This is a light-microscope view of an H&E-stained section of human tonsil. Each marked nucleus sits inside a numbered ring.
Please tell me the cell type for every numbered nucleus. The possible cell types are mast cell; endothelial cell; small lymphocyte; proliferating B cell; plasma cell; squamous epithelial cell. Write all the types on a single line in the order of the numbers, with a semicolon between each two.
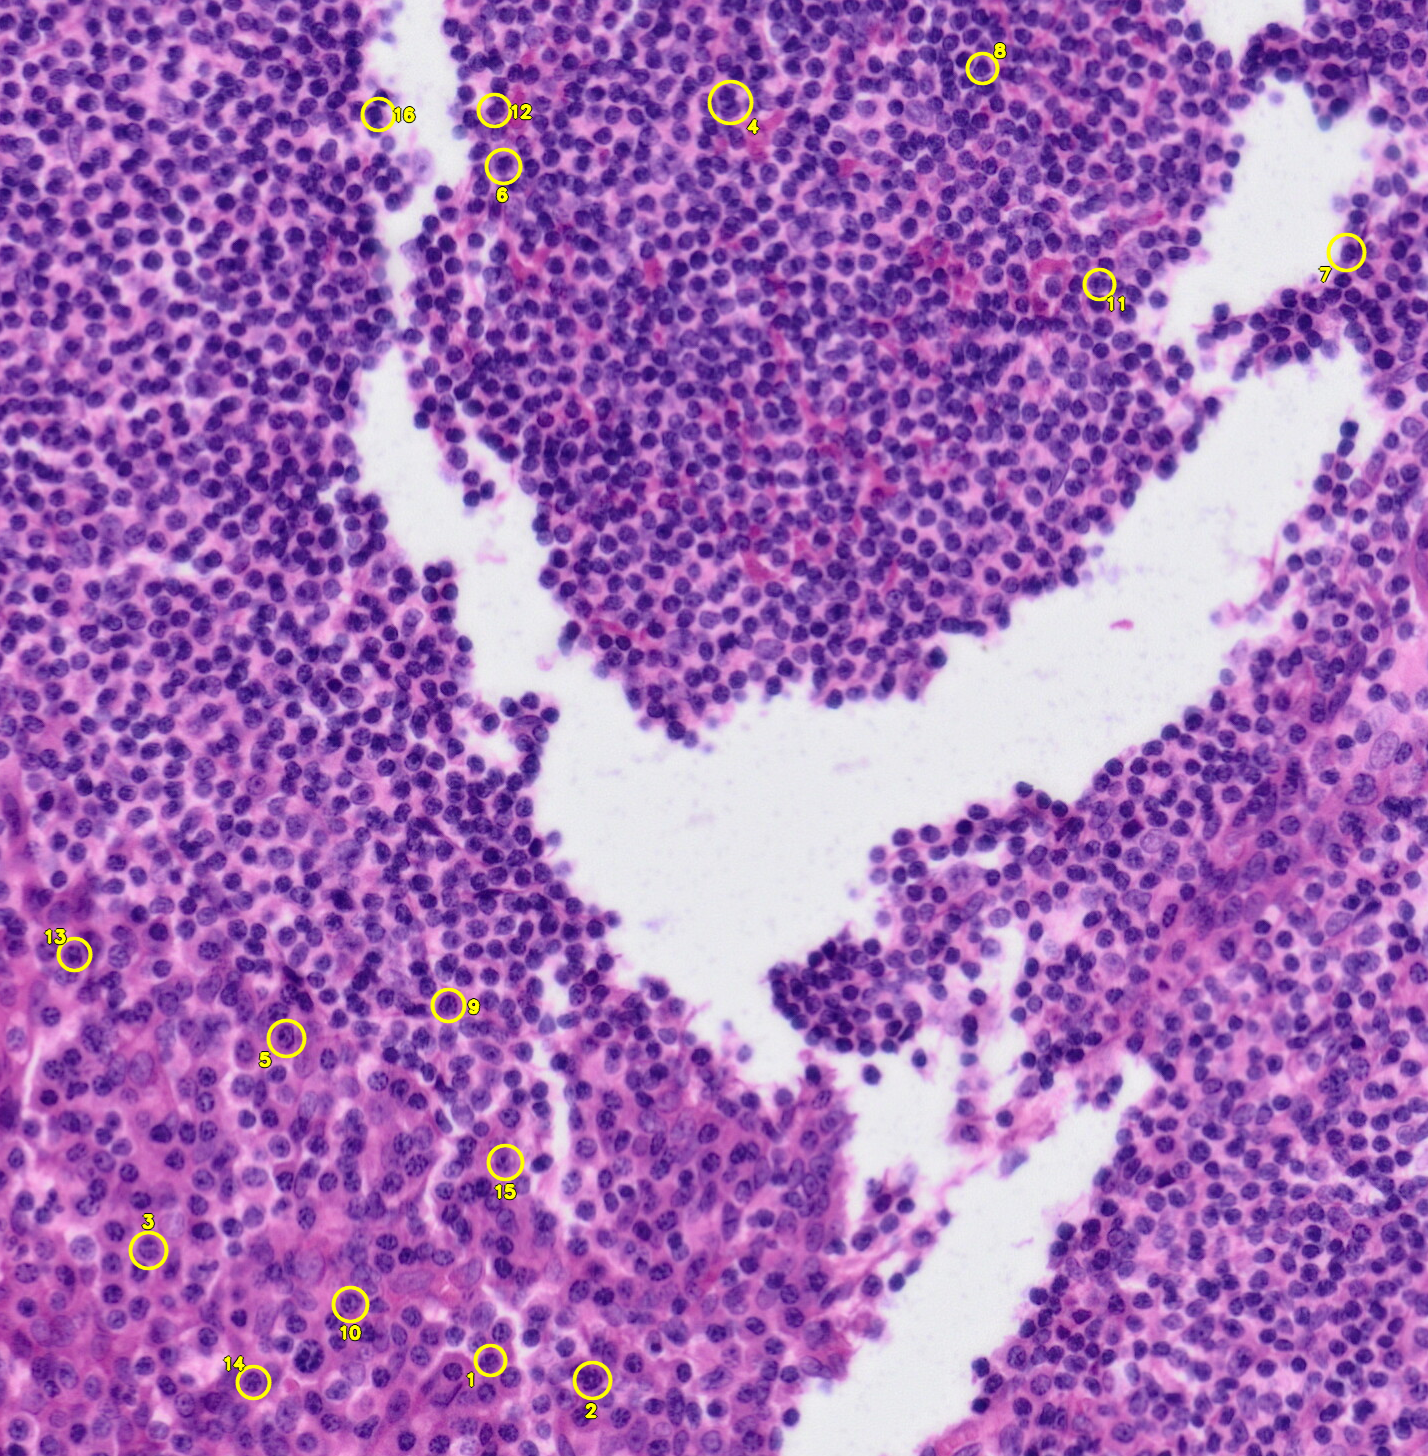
plasma cell; plasma cell; plasma cell; small lymphocyte; plasma cell; small lymphocyte; small lymphocyte; small lymphocyte; plasma cell; plasma cell; small lymphocyte; small lymphocyte; plasma cell; plasma cell; plasma cell; small lymphocyte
